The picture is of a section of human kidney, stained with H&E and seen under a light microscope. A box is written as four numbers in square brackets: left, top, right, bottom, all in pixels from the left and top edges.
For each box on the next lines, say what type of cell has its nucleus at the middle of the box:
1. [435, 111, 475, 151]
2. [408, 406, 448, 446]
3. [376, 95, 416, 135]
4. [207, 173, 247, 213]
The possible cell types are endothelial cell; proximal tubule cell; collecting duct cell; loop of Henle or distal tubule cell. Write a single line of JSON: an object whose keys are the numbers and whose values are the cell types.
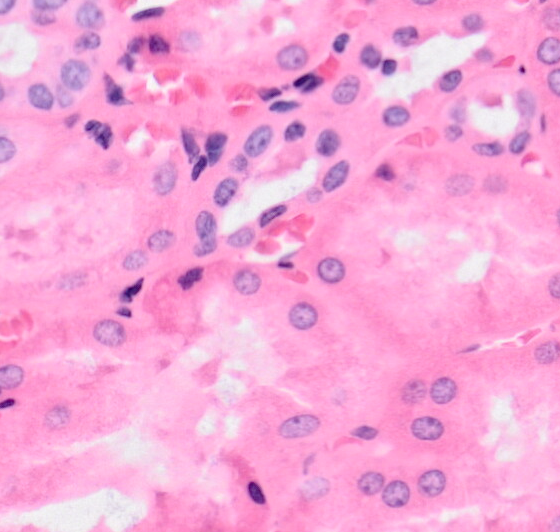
{"1": "collecting duct cell", "2": "proximal tubule cell", "3": "loop of Henle or distal tubule cell", "4": "collecting duct cell"}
